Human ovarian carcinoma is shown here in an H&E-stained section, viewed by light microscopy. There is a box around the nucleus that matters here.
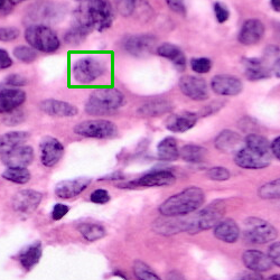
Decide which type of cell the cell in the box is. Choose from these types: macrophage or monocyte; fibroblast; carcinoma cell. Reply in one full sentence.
On this particular slide, the cell in the box is a macrophage or monocyte.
